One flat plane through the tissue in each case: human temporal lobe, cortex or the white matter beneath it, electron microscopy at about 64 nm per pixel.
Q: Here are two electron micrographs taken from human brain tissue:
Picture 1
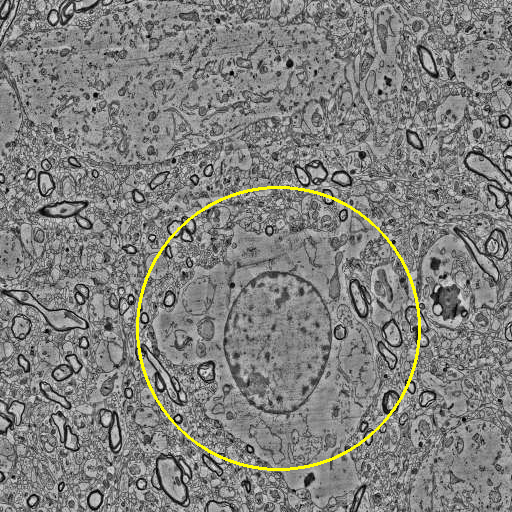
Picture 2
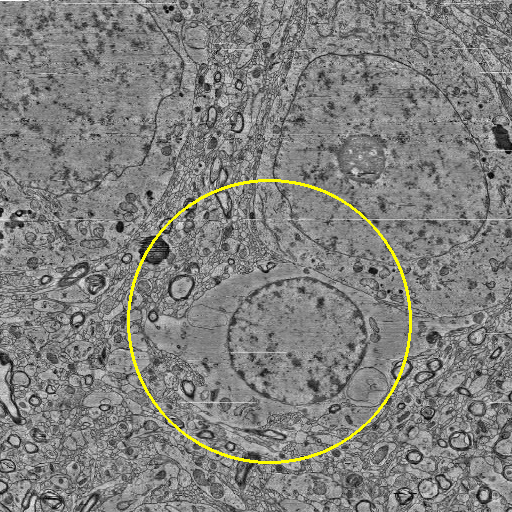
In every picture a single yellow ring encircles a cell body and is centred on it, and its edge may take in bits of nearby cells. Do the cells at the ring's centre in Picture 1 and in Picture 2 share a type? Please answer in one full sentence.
Yes, the cells at the ring's centre in Picture 1 and Picture 2 share a type.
